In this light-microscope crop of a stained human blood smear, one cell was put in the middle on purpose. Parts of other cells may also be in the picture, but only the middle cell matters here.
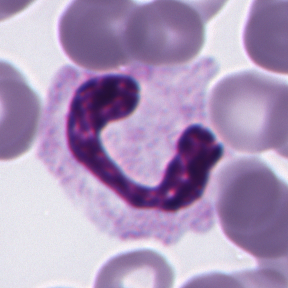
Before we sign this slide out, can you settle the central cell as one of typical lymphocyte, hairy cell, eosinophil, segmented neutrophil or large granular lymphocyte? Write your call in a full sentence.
The central cell shown in this smear crop is a segmented neutrophil.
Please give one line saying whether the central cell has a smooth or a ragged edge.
Instead of a smooth edge, this cell has an irregular one, ragged or with projections.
